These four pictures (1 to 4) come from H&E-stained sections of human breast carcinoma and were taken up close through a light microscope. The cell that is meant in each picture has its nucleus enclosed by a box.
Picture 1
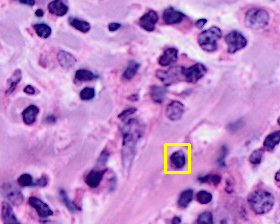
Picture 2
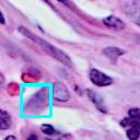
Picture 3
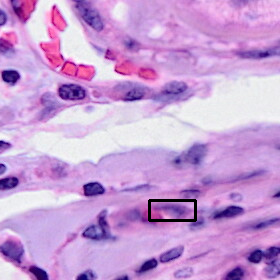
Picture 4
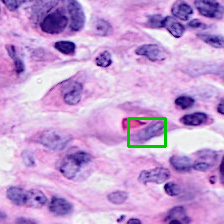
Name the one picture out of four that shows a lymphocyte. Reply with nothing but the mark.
1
